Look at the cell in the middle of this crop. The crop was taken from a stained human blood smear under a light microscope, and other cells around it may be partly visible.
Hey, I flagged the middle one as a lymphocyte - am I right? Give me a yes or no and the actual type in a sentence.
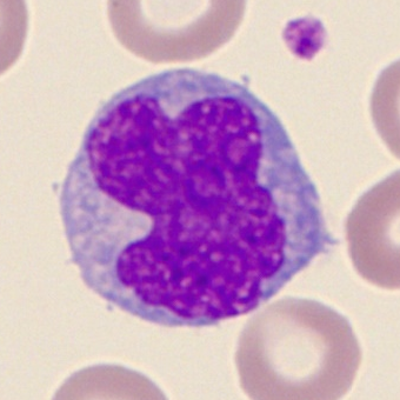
No, the cell in the centre of the crop is a monocyte as opposed to a lymphocyte.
